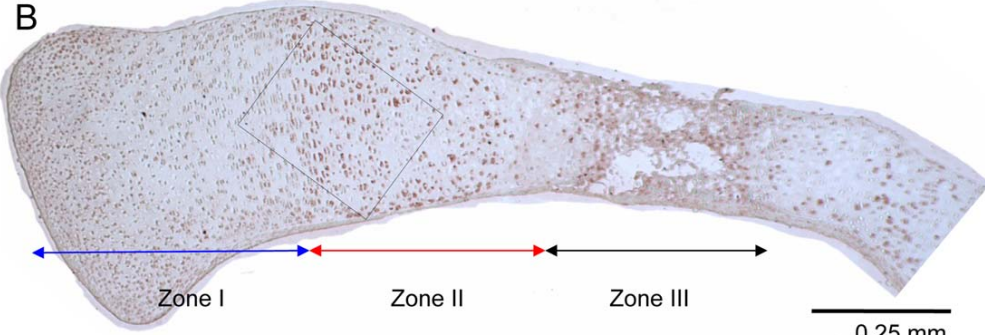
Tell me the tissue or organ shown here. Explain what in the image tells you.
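An elongated piece of cartilage with scattered cells in a pale matrix. Small, densely packed cells lie at the broad left end. Toward the middle, cells are larger and lined up in columns.
Answer: growth plate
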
